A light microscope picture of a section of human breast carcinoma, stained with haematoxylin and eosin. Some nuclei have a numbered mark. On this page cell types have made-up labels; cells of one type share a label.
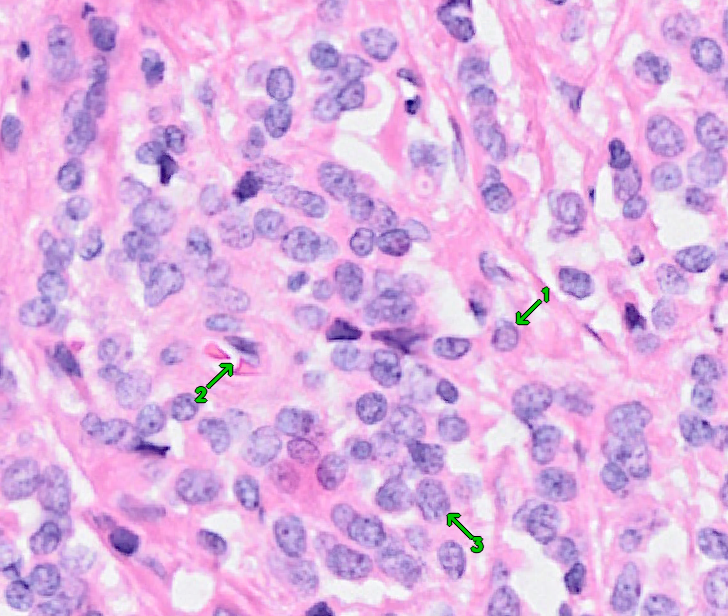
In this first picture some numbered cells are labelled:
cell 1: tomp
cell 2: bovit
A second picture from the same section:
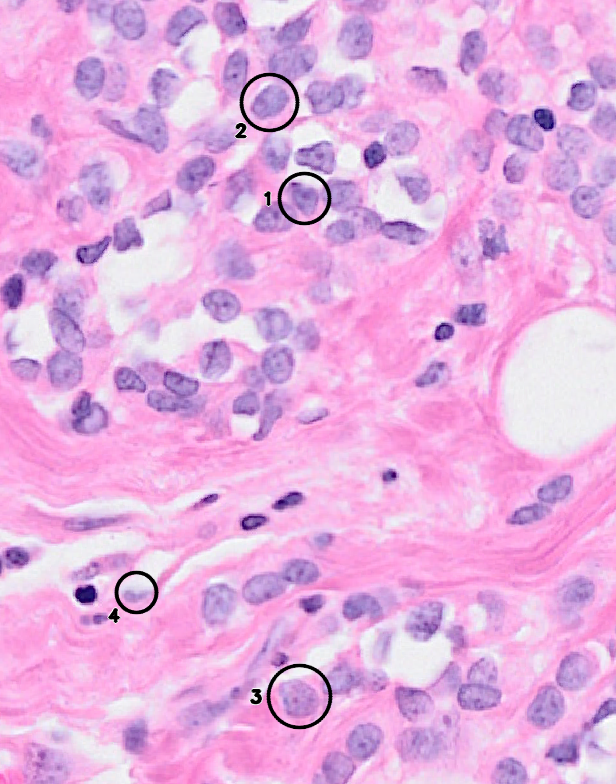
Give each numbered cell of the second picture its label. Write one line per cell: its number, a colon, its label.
1: tomp
2: tomp
3: tomp
4: bovit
